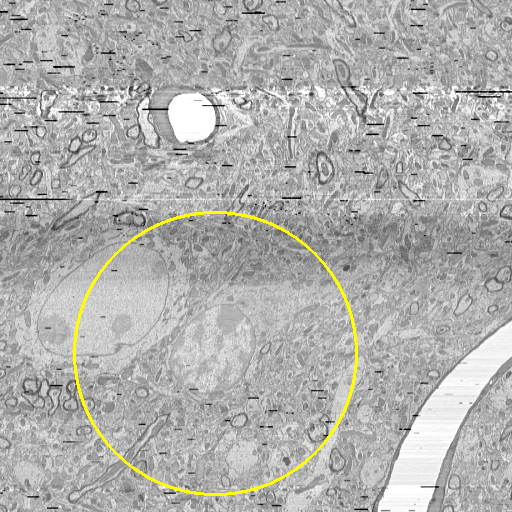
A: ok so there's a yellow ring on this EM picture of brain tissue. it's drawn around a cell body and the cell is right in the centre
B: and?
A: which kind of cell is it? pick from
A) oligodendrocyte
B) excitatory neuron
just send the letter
A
